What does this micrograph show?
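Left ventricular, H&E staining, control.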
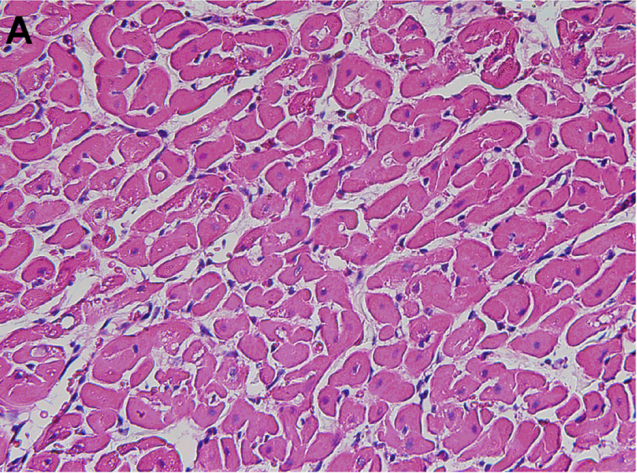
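Heart muscle cells are cut mostly across or obliquely, giving rounded and irregular pink profiles packed tightly together, many with a single pale oval nucleus in the middle. Narrow white spaces run between the fibres, and in them lie small, dark, elongated nuclei of interstitial cells.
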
